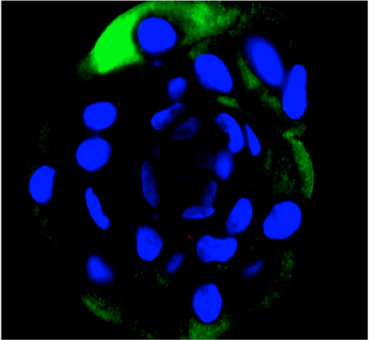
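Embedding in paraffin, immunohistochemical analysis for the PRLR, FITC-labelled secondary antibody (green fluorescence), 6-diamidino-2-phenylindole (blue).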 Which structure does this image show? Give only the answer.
mammosphere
